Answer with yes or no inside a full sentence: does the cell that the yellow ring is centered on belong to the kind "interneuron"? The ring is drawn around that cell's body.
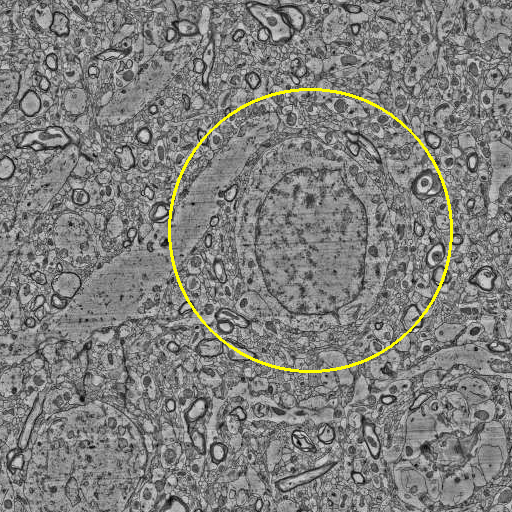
Yes, that kind describes the cell the yellow ring is centered on in the picture.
